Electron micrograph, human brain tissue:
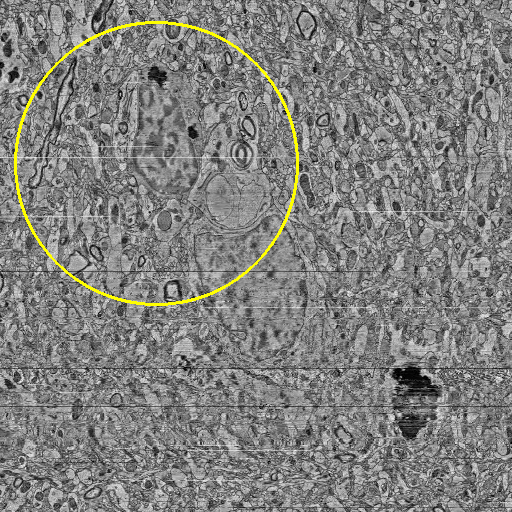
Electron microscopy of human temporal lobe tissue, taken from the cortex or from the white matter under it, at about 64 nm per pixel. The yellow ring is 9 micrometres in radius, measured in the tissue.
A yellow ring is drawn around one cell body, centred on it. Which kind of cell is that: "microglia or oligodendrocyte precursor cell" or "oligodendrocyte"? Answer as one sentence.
It is an oligodendrocyte at the centre of the ring.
